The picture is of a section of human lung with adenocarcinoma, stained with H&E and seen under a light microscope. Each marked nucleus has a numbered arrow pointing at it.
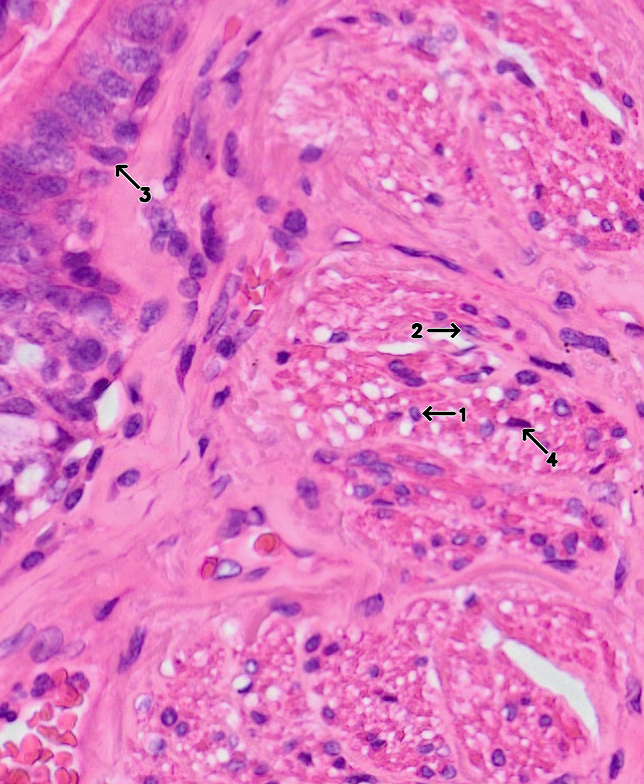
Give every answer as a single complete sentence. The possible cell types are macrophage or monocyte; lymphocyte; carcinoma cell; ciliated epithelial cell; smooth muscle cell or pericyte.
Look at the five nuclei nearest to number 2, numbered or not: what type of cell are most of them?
Smooth muscle cells or pericytes make up most of the five nuclei closest to number 2.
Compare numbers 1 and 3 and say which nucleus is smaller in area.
Number 1 is smaller, since number 3 takes up about 4 times as much area.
